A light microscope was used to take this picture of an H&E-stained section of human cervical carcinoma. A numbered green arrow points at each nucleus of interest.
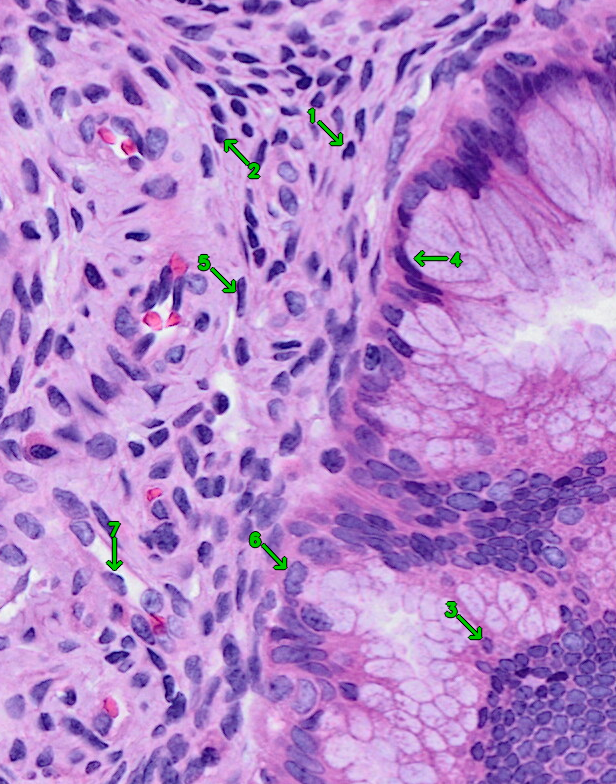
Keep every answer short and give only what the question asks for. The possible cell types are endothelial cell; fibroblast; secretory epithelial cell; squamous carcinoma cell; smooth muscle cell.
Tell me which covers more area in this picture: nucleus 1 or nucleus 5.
5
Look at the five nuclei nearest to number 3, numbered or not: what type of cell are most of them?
secretory epithelial cell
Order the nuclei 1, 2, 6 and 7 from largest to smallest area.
6, 7, 2, 1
